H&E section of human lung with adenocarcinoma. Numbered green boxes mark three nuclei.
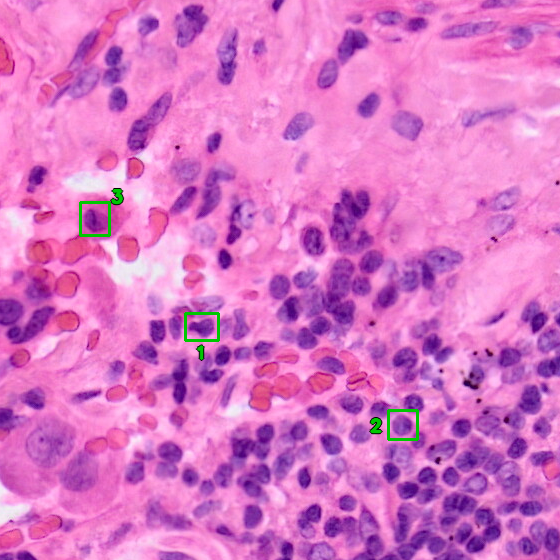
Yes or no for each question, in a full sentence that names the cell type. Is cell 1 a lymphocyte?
Yes, the cell whose nucleus carries number 1 is a lymphocyte.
